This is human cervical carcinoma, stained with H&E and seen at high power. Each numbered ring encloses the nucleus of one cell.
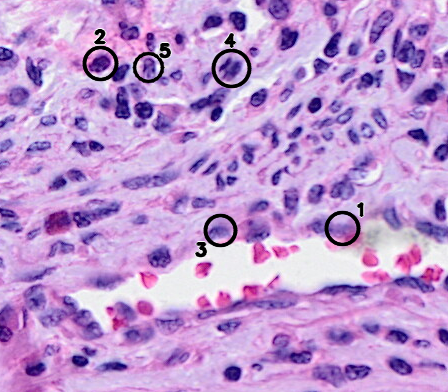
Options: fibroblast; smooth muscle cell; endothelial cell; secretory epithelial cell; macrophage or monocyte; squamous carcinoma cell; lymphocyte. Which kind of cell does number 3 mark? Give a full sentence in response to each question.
Cell 3 is classified as an endothelial cell.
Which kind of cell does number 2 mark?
Within this field of view, the cell labelled 2 is a lymphocyte.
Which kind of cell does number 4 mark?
In the marked set, the cell given number 4 is a lymphocyte.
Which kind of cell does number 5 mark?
The marked cell with the number 5 is recognised as a lymphocyte.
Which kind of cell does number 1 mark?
In the tissue shown, cell 1 is an endothelial cell.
